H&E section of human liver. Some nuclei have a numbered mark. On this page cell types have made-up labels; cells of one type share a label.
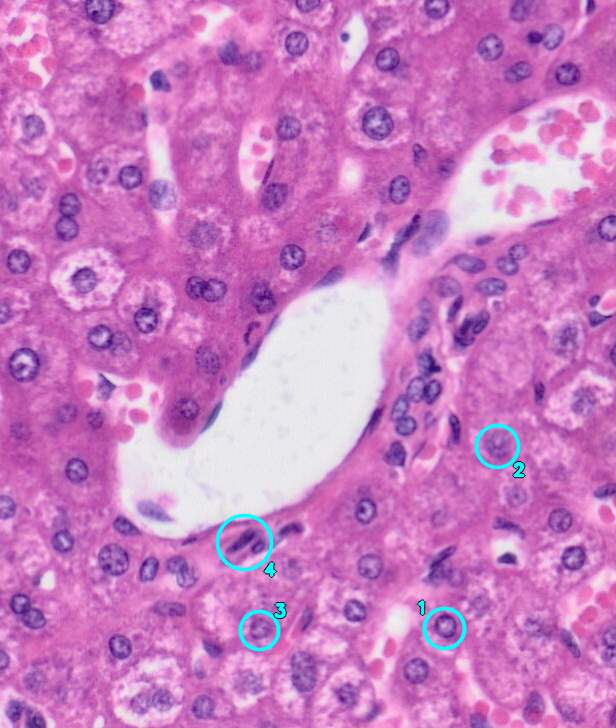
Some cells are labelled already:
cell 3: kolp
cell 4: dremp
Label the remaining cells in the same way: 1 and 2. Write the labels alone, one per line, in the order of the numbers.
kolp
kolp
